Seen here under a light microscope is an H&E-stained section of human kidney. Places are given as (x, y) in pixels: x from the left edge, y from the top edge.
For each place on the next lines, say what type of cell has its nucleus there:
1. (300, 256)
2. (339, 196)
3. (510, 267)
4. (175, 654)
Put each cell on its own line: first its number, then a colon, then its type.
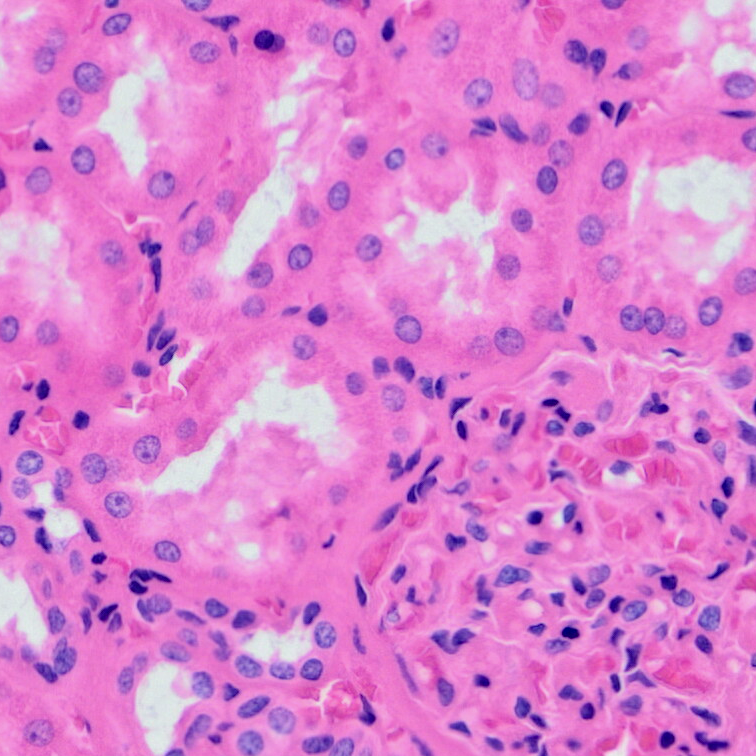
1: proximal tubule cell
2: proximal tubule cell
3: proximal tubule cell
4: collecting duct cell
